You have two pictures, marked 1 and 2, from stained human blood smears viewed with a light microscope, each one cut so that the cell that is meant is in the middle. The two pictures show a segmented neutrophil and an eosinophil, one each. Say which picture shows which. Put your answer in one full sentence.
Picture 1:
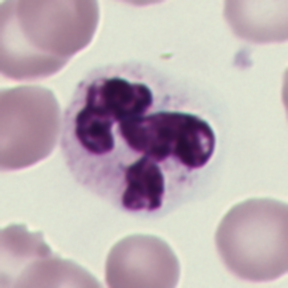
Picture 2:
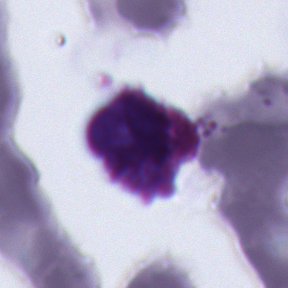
In picture 1 the cell is a segmented neutrophil; in picture 2, an eosinophil.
